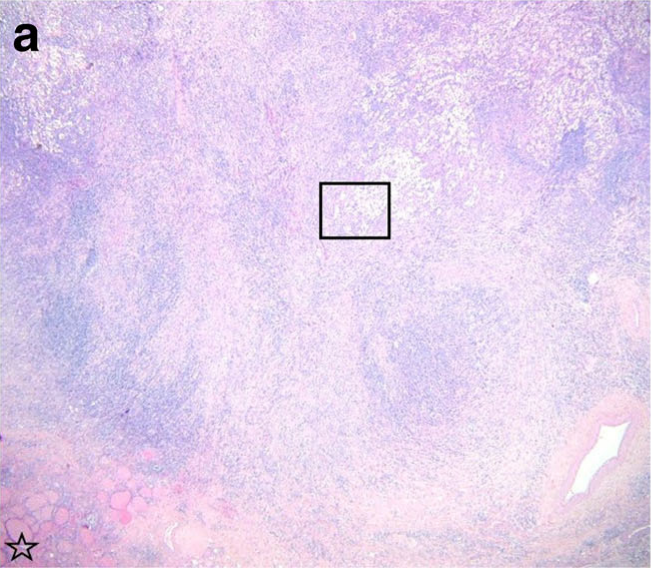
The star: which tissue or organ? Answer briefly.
Residual thyroid tissue.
